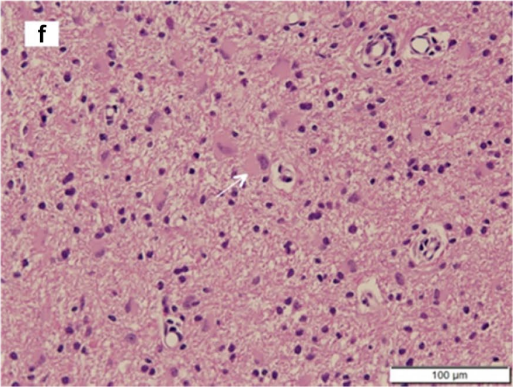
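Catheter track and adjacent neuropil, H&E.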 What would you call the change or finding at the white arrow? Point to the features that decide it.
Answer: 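The arrow points to a cell with abundant glassy pink cytoplasm and an eccentric nucleus. Several similar plump pink cells are scattered in the neuropil. On this evidence: reactive gliosis/astrocytosis.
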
